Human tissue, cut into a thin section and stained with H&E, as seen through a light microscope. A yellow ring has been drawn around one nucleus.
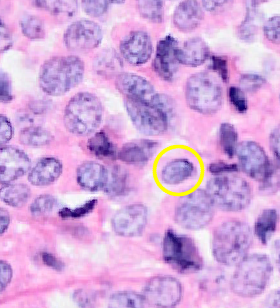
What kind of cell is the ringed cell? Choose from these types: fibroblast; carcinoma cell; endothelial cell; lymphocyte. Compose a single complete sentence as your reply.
In the stained section, the ringed cell is a carcinoma cell.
